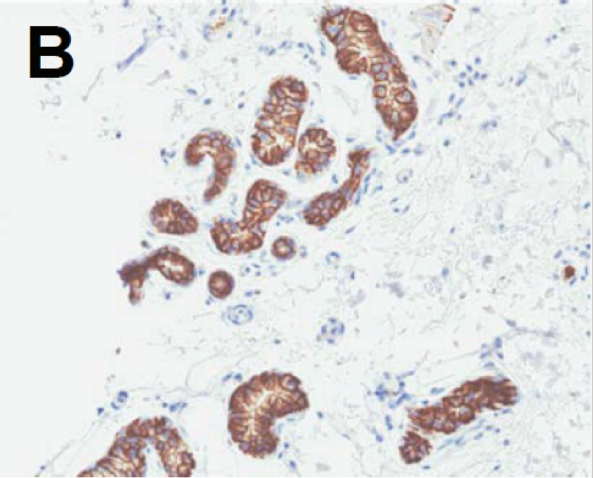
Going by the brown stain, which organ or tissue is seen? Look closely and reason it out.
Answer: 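Clustered coiled tubules cut in many profiles are stained brown. The tubules lie in pale connective tissue.
Hence: sweat glands.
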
